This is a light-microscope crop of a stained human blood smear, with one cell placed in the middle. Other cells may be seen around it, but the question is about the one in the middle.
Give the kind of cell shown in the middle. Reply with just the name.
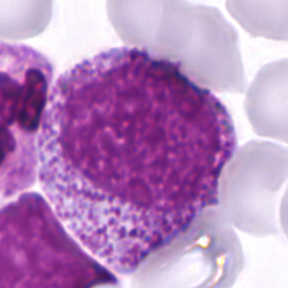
myelocyte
